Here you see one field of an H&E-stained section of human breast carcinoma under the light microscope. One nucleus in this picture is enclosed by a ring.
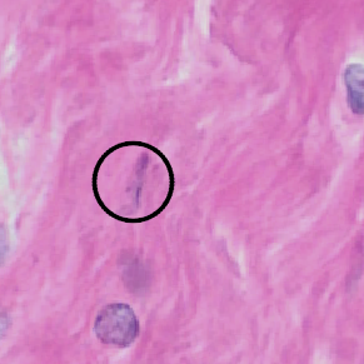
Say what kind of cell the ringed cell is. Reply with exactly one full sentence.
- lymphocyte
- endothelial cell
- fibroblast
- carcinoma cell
As a matter of cell type, the ringed cell is a fibroblast.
